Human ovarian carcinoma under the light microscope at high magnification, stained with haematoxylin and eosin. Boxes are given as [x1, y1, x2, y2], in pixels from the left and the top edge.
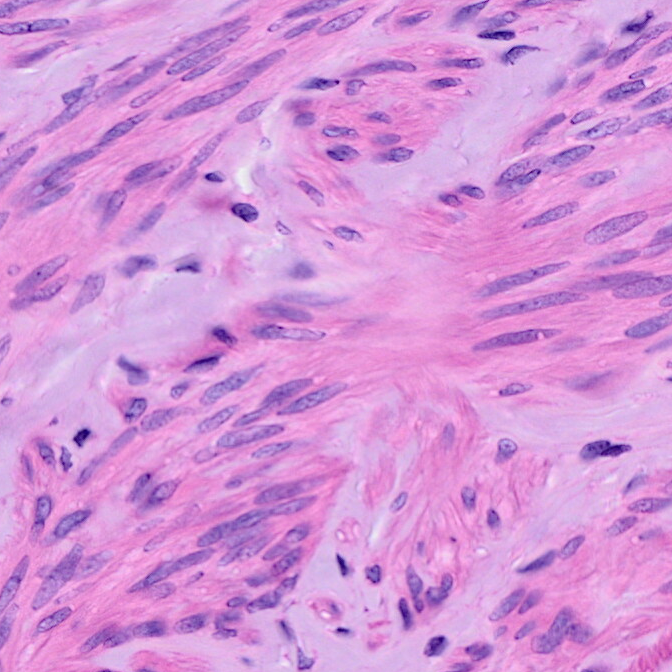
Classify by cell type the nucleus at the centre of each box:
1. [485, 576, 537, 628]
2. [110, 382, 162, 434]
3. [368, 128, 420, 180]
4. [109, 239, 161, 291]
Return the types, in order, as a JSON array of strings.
["smooth muscle cell", "smooth muscle cell", "smooth muscle cell", "fibroblast"]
